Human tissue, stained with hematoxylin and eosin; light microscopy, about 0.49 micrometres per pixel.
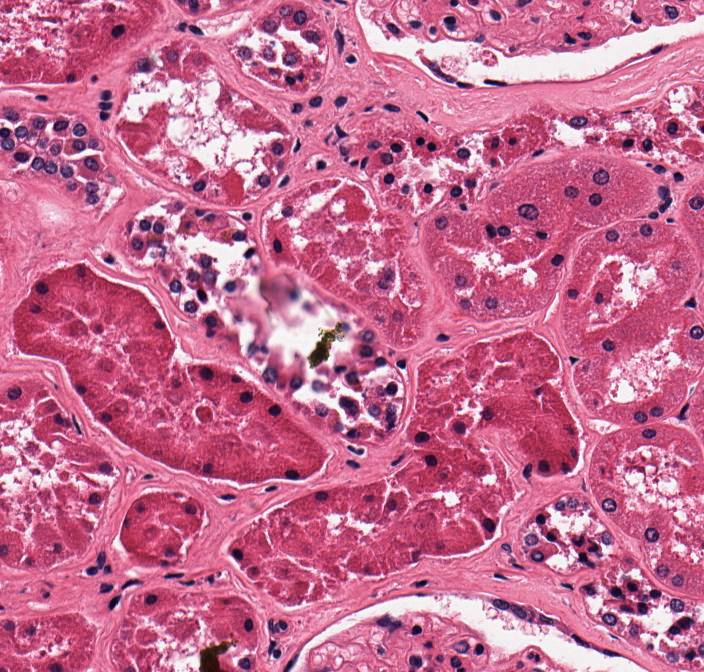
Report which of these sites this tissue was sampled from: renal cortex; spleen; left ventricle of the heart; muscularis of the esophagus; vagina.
renal cortex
